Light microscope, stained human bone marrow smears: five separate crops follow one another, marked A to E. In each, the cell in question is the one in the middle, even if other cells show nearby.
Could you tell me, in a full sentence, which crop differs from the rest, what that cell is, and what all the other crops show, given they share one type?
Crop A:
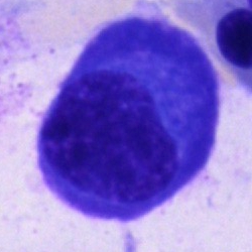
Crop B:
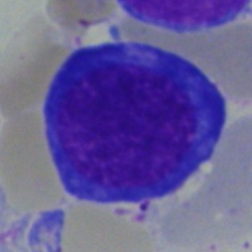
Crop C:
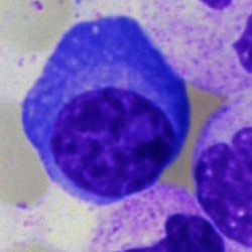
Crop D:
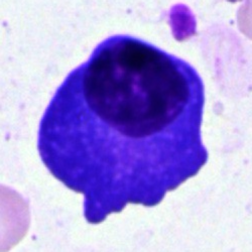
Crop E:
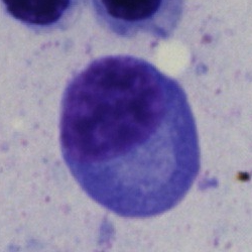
Crop B shows a proerythroblast, while all of the others show plasma cells.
